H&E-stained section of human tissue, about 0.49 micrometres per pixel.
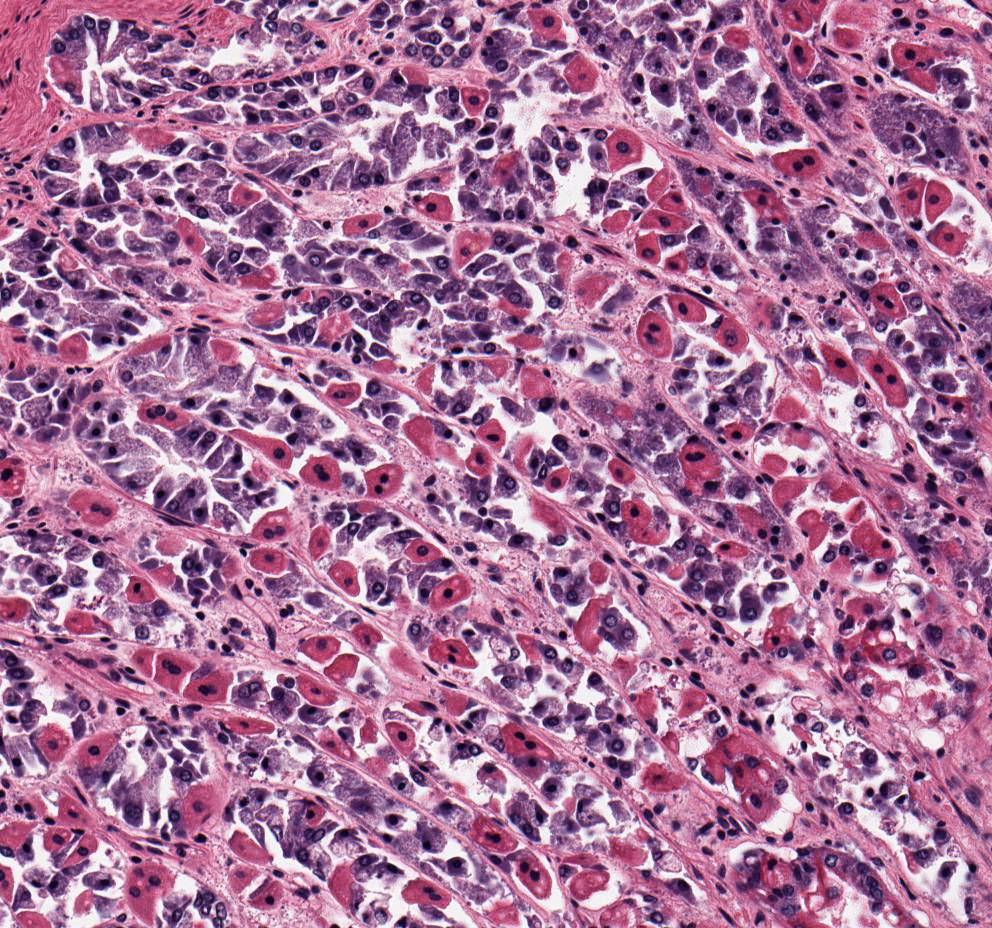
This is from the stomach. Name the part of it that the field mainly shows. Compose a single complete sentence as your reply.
The part of the tissue imaged here is called fundic glands.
